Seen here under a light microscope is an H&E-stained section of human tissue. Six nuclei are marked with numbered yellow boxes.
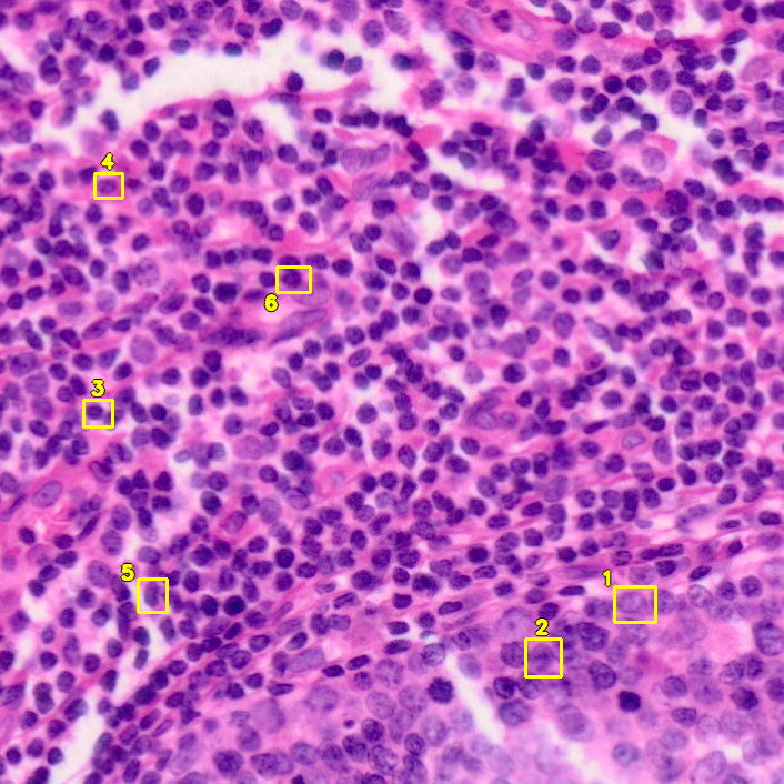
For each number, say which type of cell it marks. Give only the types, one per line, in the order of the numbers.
proliferating B cell
proliferating B cell
small lymphocyte
endothelial cell
small lymphocyte
endothelial cell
